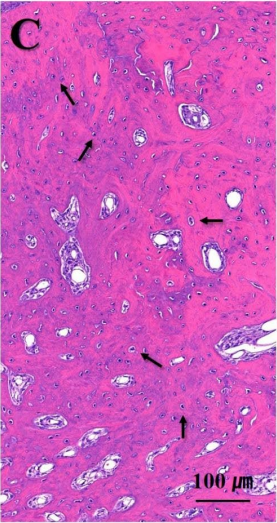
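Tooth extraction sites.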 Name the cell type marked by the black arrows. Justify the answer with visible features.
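Normal osteocyte. Arrows point to small dark nuclei sitting in lacunae within pink bone matrix. The cells are scattered singly through the mineralised matrix.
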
